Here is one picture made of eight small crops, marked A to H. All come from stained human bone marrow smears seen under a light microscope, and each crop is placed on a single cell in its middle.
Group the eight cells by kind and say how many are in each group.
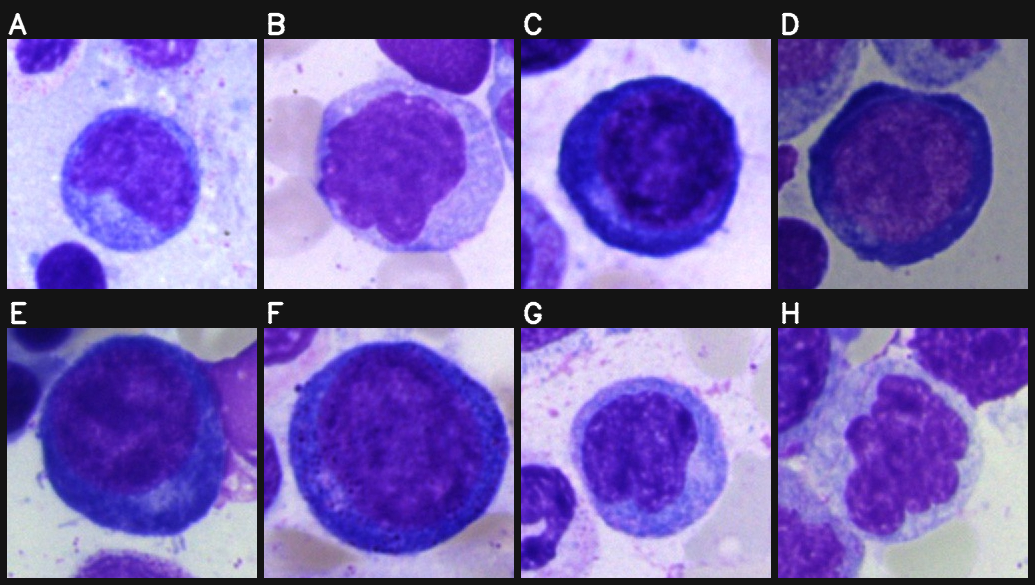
monocyte: 4
proerythroblast: 4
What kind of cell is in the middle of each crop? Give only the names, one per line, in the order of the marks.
monocyte
monocyte
proerythroblast
proerythroblast
proerythroblast
proerythroblast
monocyte
monocyte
